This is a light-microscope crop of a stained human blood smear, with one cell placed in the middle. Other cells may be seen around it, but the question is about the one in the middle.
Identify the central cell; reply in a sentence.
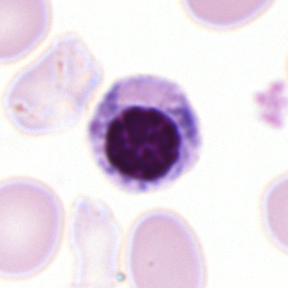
The target cell in the middle of the crop is an erythroblast.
